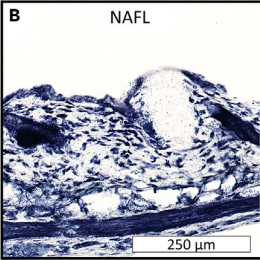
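This is a vertical section of skin in which the dermis stains blue-purple and holds many small, elongated dark nuclei, with darkly stained hair follicles on either side. In the middle, a dome-shaped zone reaches down from the surface into the dermis; it is pale and almost without blue stain, and no nuclei show inside it. Below the dermis lie rounded clear spaces and, at the bottom, a band of dense, dark, parallel fibres.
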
